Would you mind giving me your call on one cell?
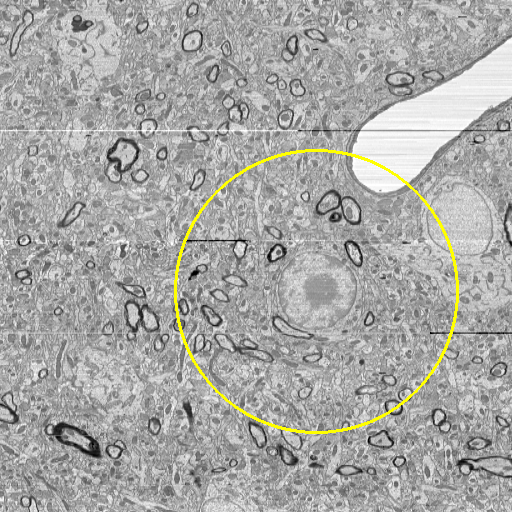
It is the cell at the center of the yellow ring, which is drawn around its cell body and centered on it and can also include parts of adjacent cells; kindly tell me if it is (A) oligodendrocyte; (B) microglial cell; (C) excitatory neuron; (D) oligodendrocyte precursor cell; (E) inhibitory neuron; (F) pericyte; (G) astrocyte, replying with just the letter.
A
